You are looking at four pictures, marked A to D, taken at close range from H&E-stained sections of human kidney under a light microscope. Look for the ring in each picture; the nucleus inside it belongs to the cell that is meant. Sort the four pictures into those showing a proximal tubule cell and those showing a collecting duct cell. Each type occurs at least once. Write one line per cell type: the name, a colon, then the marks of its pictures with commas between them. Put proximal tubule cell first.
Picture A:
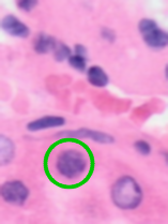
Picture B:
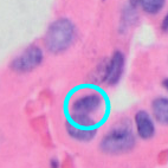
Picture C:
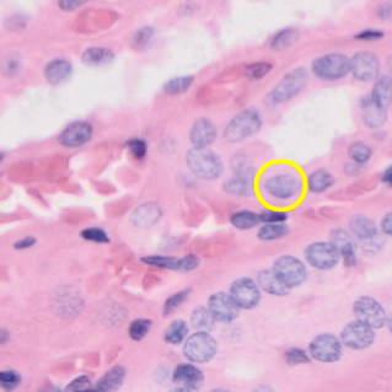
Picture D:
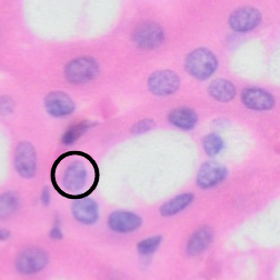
proximal tubule cell: A
collecting duct cell: B, C, D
